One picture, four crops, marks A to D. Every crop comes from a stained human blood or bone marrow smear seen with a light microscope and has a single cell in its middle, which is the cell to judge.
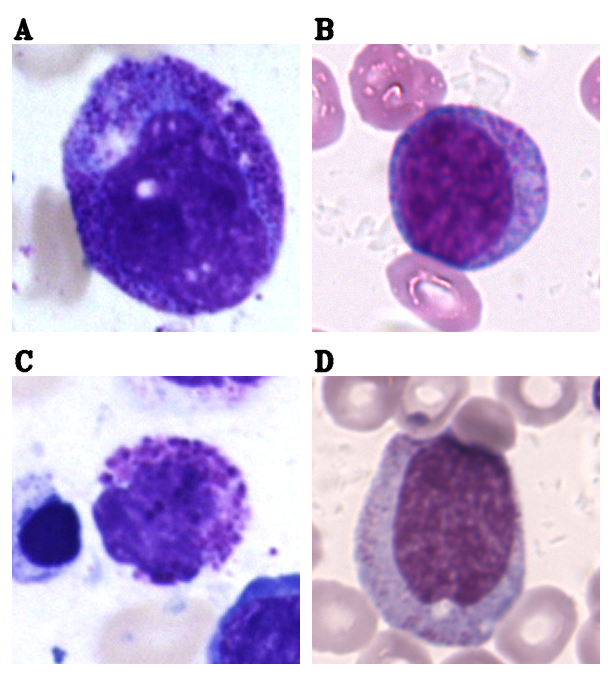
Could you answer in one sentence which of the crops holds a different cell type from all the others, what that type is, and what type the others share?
With the other crops all showing promyelocytes, crop C differs by showing a basophil.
